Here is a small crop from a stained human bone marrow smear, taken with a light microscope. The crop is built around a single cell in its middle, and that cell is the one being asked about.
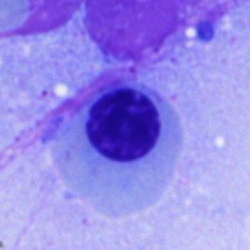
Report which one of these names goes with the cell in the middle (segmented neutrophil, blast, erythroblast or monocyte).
erythroblast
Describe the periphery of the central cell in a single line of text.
Happy to help: the outline is smooth and shows no projections.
